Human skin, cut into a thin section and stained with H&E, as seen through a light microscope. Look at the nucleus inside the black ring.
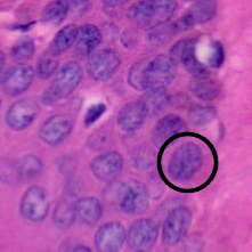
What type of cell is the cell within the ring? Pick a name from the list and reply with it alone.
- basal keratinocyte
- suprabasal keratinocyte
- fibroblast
basal keratinocyte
